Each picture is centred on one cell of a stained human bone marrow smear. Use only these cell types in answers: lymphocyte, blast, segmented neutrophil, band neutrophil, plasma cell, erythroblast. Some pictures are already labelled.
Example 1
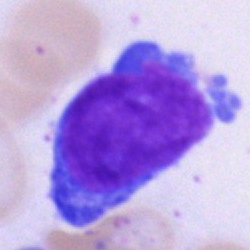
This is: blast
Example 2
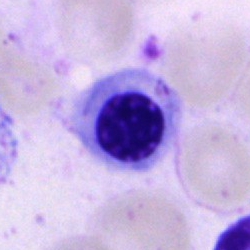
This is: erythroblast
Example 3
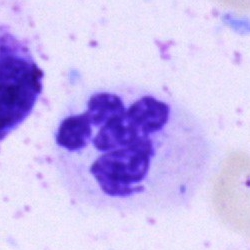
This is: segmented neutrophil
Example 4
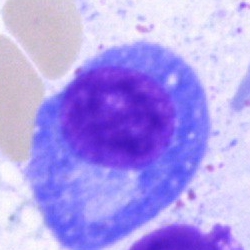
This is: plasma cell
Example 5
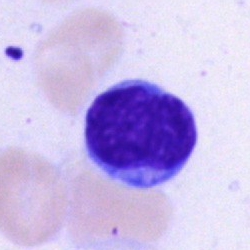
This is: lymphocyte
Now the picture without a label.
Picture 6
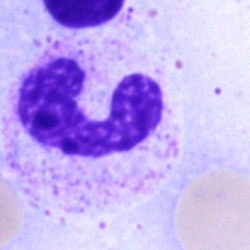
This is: band neutrophil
